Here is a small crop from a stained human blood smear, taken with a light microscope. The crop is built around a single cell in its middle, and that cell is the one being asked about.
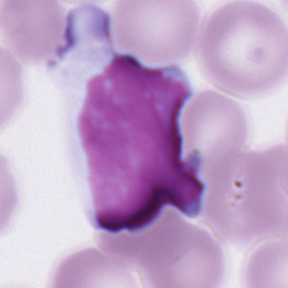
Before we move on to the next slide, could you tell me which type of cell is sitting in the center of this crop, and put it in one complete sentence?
The centered cell in this crop is a typical lymphocyte.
